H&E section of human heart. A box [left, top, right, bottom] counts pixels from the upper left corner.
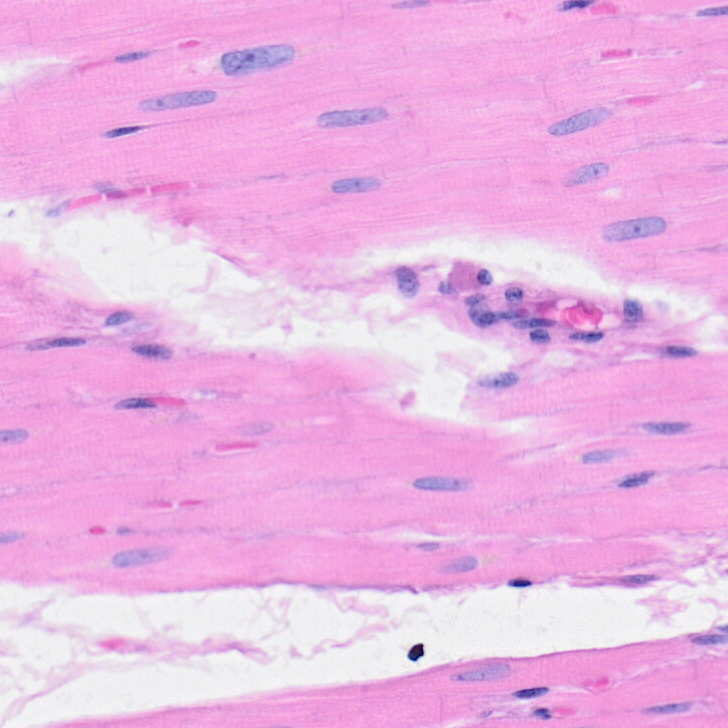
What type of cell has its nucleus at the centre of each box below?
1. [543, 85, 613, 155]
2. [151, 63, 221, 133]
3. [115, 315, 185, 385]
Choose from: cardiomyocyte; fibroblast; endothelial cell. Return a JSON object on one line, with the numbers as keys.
{"1": "cardiomyocyte", "2": "cardiomyocyte", "3": "fibroblast"}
